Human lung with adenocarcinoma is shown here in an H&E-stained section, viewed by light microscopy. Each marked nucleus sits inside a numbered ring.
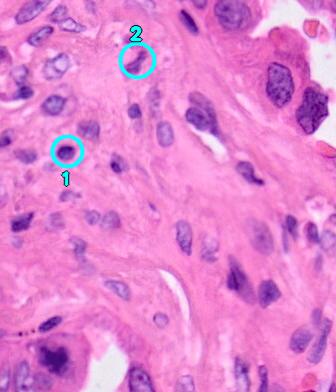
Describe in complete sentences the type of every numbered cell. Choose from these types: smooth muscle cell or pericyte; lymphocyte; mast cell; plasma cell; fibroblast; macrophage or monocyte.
Cell 1 is a lymphocyte and cell 2 is a plasma cell.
